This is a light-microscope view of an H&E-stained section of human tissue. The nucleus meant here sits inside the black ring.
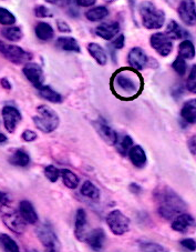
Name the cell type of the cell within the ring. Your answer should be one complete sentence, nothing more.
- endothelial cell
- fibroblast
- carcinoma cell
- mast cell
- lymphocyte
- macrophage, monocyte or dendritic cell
It is as a lymphocyte that the cell within the ring is classified.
